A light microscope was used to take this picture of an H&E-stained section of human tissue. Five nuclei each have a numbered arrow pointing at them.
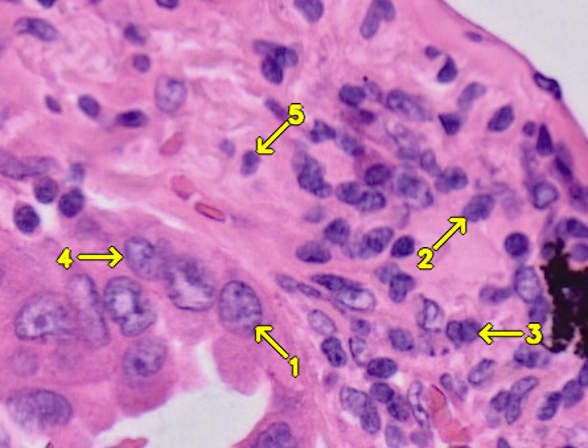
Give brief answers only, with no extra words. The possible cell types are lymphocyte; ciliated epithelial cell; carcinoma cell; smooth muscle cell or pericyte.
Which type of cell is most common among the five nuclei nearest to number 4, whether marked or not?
carcinoma cell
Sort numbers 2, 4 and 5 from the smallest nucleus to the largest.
5, 2, 4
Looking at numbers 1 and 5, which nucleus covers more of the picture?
1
